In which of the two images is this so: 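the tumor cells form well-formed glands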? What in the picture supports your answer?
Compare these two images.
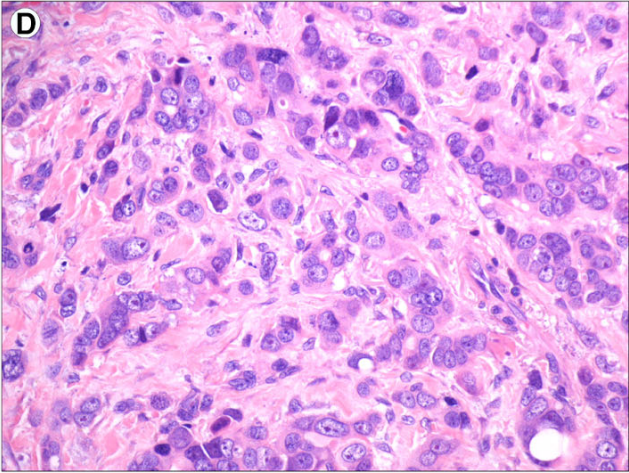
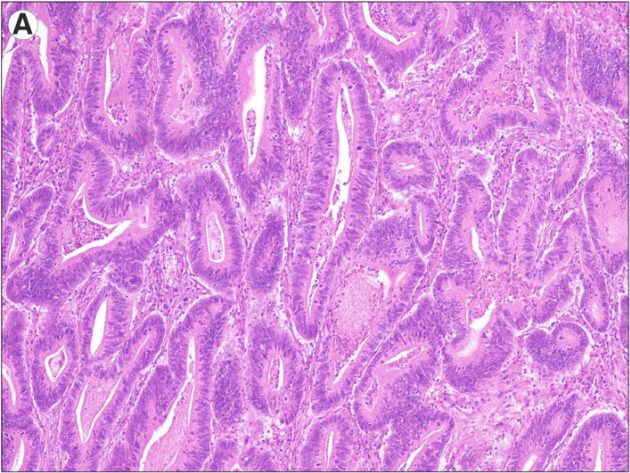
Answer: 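First image: tumor cells lie singly and in loose clusters in fibrous stroma, without glands. Second image: tumor cells line numerous tubular glands with open lumens.
Conclusion: the second image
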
